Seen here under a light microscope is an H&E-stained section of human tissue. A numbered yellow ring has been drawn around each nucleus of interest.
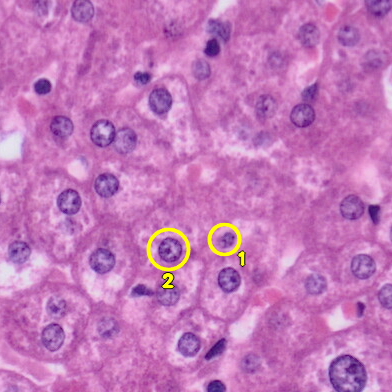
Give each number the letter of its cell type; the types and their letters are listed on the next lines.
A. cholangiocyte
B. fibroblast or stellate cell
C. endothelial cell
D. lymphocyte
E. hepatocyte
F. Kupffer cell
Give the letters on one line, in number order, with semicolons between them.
D; E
